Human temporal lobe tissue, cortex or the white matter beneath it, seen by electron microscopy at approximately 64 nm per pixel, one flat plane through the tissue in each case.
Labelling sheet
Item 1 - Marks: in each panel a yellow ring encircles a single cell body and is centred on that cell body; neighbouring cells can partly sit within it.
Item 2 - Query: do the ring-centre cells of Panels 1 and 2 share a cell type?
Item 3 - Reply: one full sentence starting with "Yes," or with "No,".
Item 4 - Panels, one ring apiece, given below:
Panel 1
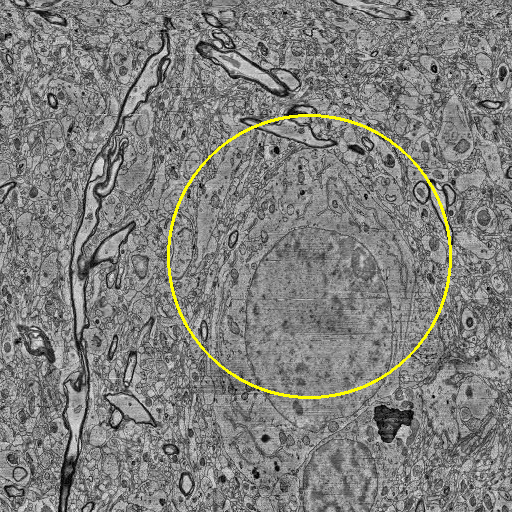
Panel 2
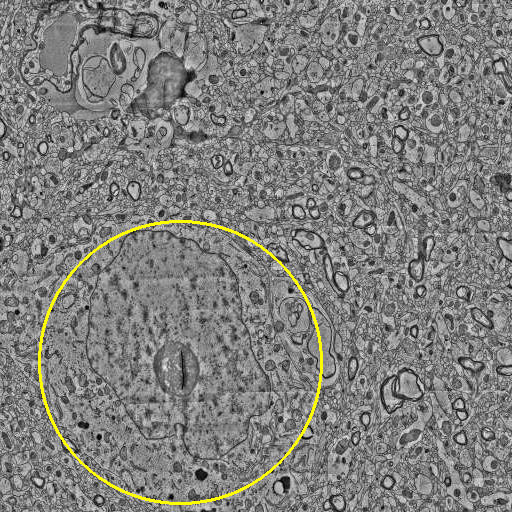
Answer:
No, Panel 1 and Panel 2 show two cell types at the centres of their rings.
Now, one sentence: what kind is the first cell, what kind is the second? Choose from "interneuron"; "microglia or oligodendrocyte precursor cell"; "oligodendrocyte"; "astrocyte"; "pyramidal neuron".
The first picture has an interneuron at its ring centre, and the second has a pyramidal neuron.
